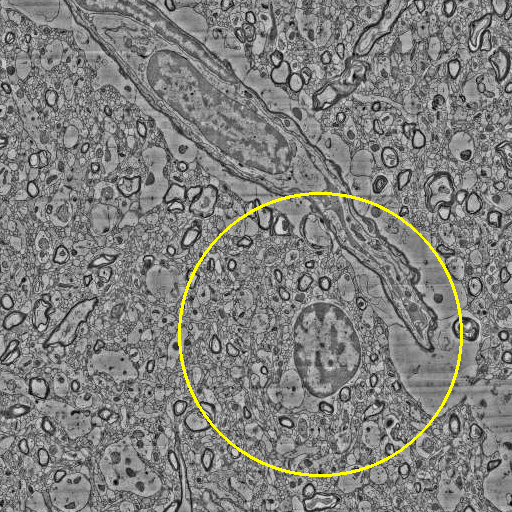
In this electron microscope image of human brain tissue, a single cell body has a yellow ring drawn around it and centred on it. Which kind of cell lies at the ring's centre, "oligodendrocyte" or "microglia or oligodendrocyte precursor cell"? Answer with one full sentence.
It is a microglial cell or oligodendrocyte precursor cell whose cell body lies at the centre of the yellow ring here.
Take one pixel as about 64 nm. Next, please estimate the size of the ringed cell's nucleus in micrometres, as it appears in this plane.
In this plane the nucleus measures roughly 6 by 5 micrometres.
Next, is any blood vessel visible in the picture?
Yes, one is visible.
